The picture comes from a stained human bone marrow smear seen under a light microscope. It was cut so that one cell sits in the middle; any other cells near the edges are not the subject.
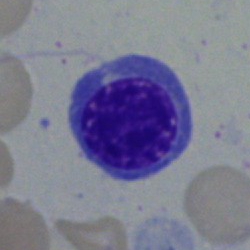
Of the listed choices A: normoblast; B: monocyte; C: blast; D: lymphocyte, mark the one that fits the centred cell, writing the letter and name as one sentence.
Option A is correct here, and the cell in the middle is a normoblast.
